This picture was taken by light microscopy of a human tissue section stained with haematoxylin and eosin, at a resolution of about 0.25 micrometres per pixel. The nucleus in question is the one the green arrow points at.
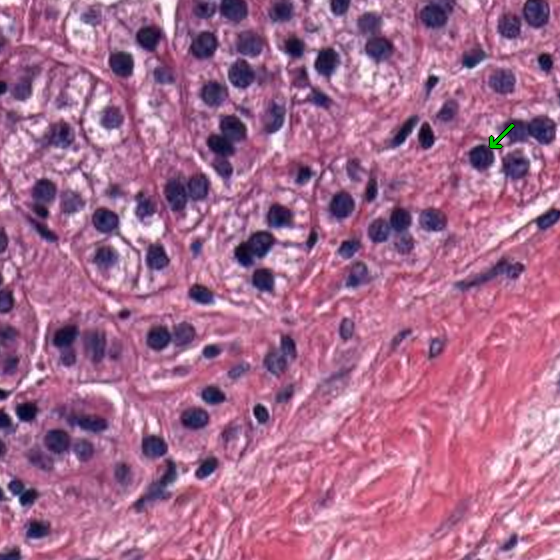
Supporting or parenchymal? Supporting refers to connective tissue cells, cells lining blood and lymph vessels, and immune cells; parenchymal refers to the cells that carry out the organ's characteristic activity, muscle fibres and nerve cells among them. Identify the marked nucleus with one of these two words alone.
parenchymal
